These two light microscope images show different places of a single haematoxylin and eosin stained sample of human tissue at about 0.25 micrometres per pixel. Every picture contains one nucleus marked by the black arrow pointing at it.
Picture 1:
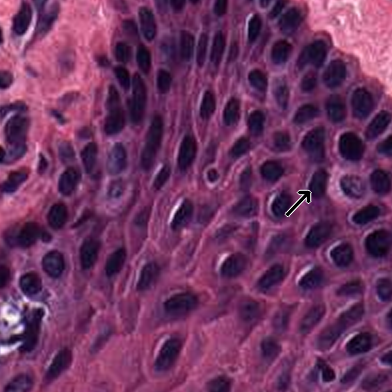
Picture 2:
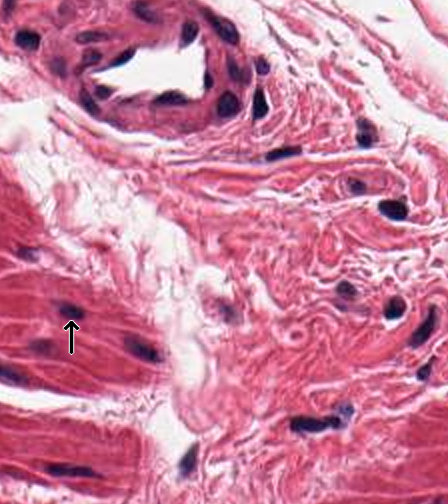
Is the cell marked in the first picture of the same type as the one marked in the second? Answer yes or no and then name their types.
No, the first is a squamous epithelial cell and the second a smooth muscle cell.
